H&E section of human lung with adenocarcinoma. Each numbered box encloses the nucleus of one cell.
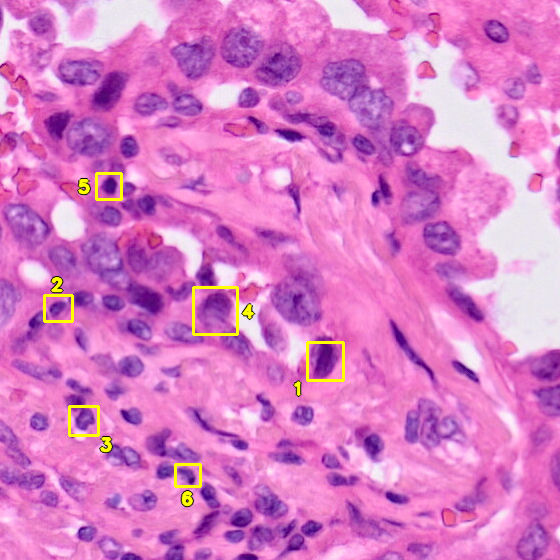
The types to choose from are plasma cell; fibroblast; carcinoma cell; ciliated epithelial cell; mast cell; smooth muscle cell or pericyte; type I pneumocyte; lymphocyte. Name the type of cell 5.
lymphocyte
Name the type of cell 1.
carcinoma cell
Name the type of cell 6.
lymphocyte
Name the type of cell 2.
lymphocyte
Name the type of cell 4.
carcinoma cell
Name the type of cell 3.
lymphocyte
